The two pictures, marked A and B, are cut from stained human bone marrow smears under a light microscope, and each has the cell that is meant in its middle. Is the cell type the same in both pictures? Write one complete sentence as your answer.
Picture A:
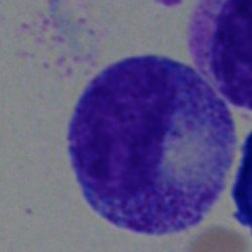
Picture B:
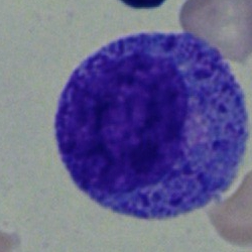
Yes, they are the same type: both are promyelocytes.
